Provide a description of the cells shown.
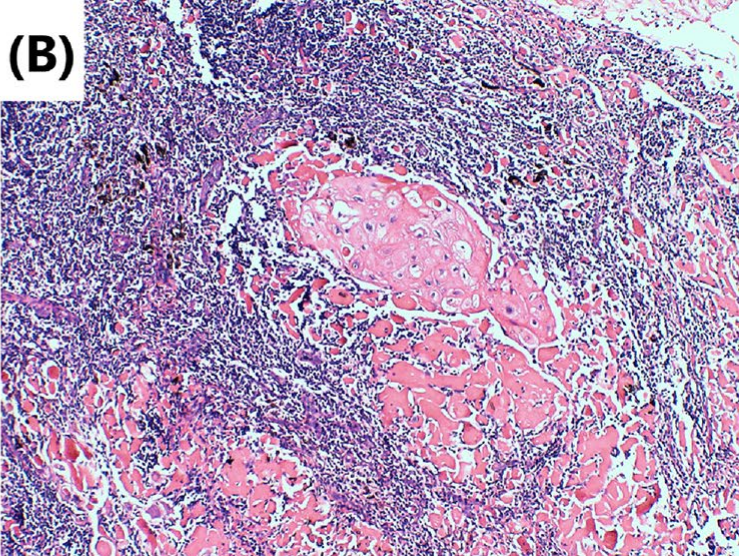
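Dense sheets of small, round, darkly stained lymphoid cells fill much of the field, with scattered clumps of black pigment among them. Below and around it are many irregular pink fibrous fragments and strands. This is a cancer nest within lymph node tissue, surrounded by fibrous tissue.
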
